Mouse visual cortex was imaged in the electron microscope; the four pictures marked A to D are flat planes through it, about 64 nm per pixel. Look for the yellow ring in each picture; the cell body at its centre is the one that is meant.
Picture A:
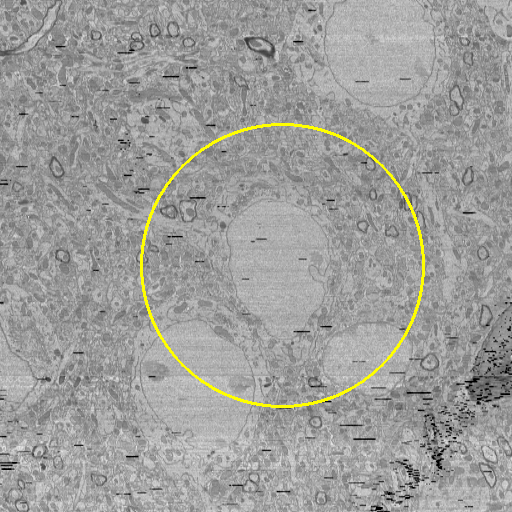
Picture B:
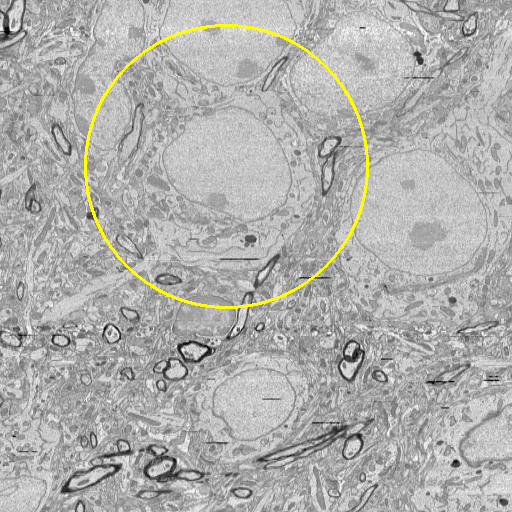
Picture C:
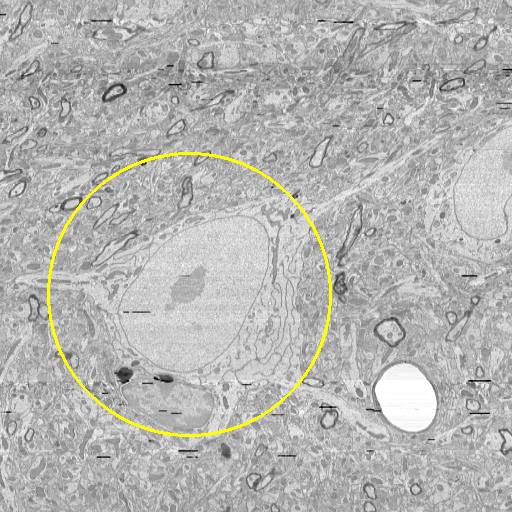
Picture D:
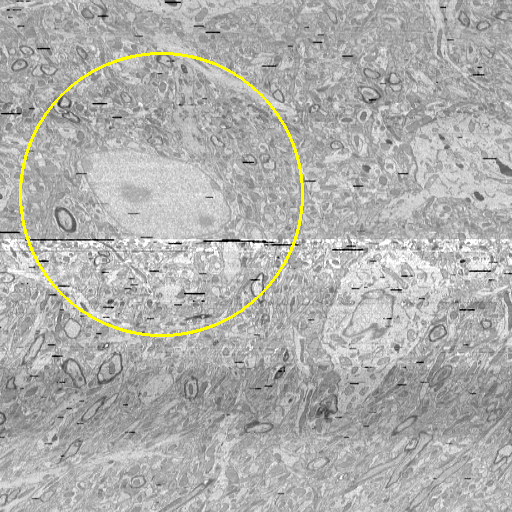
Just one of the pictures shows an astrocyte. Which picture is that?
The picture with the astrocyte is D.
